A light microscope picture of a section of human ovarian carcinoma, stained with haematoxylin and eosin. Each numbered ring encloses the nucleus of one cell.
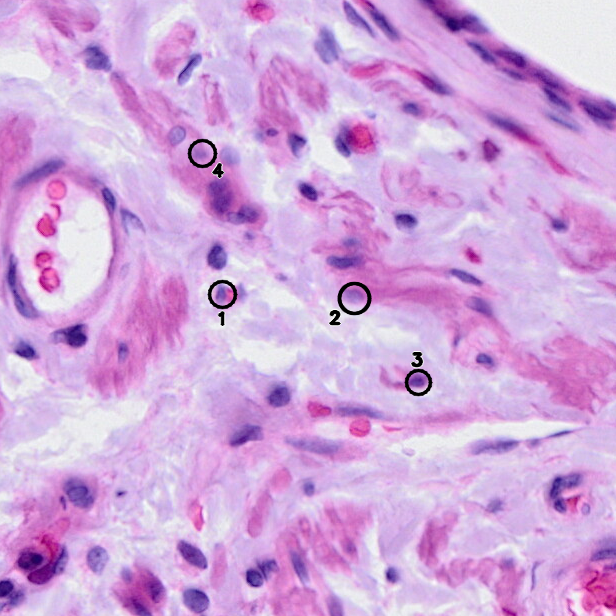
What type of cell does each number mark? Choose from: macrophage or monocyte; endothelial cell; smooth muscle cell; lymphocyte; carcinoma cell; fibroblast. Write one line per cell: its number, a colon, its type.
1: endothelial cell
2: smooth muscle cell
3: smooth muscle cell
4: smooth muscle cell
